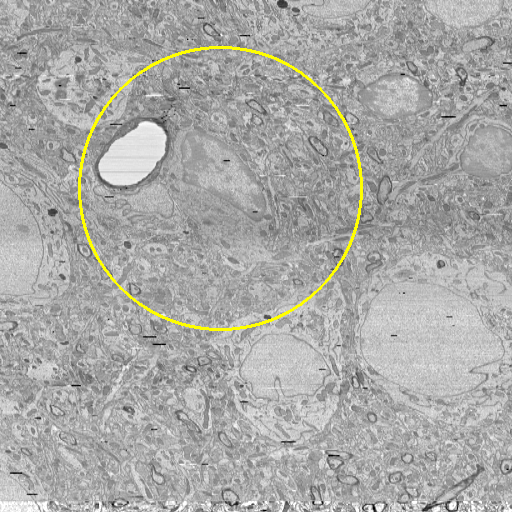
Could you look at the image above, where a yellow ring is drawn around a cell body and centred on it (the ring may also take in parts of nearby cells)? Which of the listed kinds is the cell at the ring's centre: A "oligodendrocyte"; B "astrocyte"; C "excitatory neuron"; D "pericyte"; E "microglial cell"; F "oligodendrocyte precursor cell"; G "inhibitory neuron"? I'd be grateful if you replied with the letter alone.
A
